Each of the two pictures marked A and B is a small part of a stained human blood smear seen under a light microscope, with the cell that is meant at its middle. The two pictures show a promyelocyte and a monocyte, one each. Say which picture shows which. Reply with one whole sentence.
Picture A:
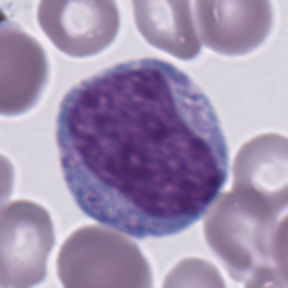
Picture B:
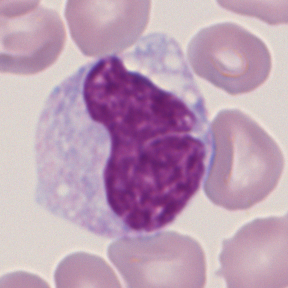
It is picture A that shows a promyelocyte, and picture B that shows a monocyte.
